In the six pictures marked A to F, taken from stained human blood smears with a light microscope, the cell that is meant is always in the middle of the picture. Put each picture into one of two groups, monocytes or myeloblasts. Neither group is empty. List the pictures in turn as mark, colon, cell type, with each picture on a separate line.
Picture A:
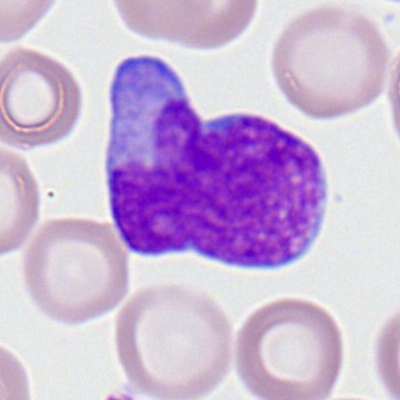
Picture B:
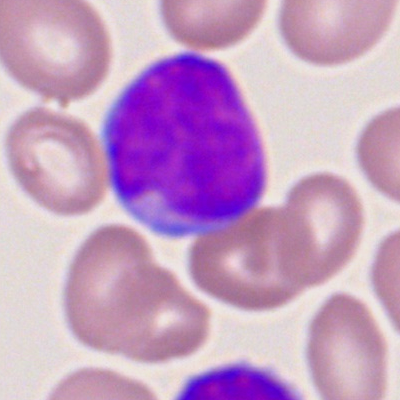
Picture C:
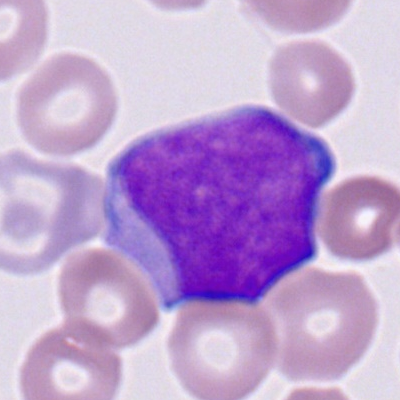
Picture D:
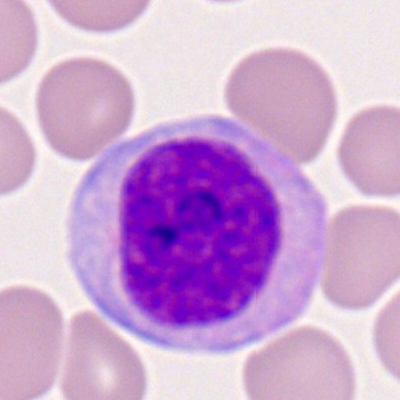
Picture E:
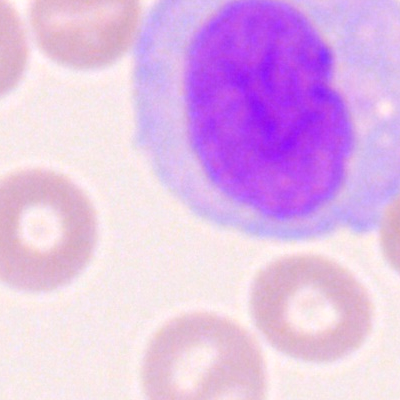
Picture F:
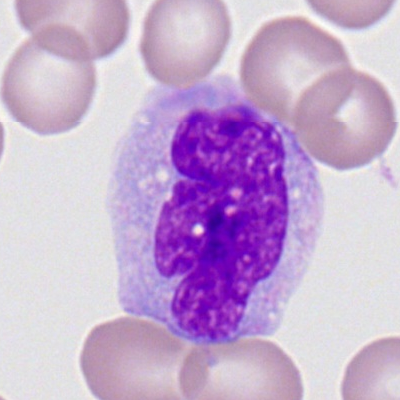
A: myeloblast
B: myeloblast
C: myeloblast
D: monocyte
E: monocyte
F: monocyte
